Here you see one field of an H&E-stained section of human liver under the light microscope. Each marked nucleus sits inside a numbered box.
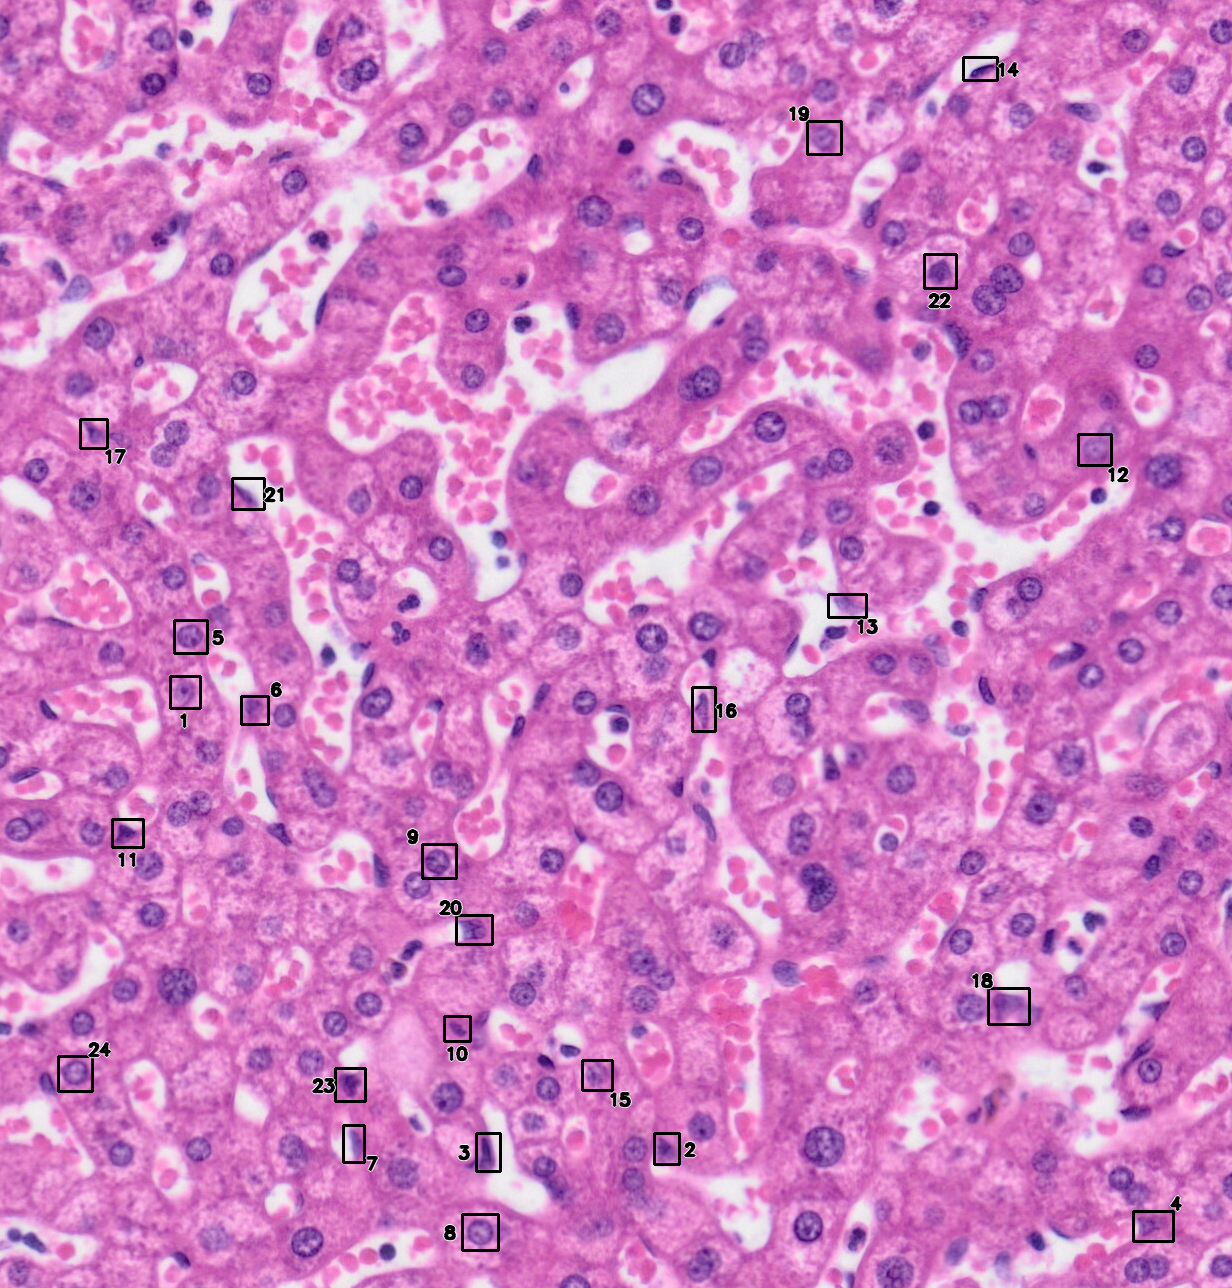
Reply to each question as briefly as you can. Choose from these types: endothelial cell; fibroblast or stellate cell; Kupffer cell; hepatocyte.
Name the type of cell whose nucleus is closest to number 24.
fibroblast or stellate cell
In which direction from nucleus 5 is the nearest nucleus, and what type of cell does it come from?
an endothelial cell above and to the right of nucleus 5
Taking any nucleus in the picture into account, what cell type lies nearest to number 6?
hepatocyte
